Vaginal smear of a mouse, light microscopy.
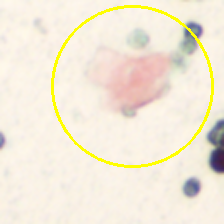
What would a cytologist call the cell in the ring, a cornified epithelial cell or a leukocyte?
A cytologist would call it a cornified epithelial cell.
